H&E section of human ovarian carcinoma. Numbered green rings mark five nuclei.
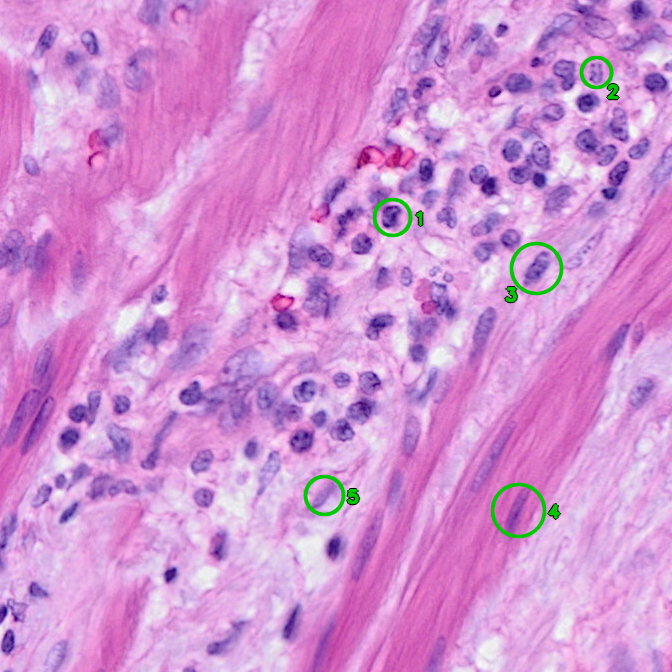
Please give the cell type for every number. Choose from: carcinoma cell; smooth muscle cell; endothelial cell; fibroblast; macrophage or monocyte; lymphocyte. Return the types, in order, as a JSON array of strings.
["lymphocyte", "macrophage or monocyte", "macrophage or monocyte", "smooth muscle cell", "fibroblast"]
